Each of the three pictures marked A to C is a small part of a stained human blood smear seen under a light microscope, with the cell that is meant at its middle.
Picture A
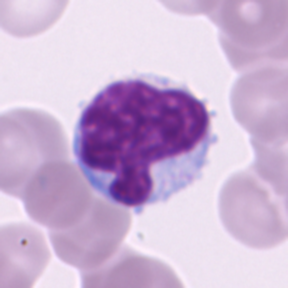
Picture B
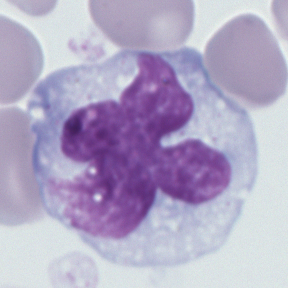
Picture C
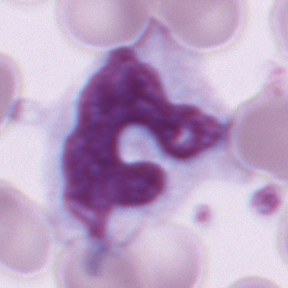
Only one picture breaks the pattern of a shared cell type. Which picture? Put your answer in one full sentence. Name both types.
Picture A differs, because its cell is a large granular lymphocyte and the rest are monocytes.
